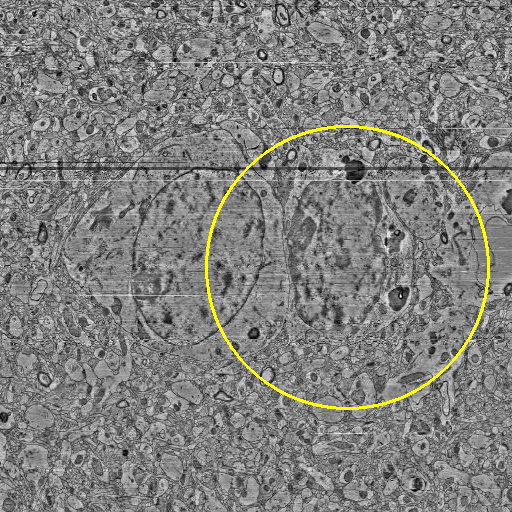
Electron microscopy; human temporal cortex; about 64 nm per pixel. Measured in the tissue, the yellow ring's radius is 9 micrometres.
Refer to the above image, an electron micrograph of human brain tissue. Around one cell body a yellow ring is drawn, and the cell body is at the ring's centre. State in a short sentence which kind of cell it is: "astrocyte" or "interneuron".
The centre of the ring falls on an interneuron.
